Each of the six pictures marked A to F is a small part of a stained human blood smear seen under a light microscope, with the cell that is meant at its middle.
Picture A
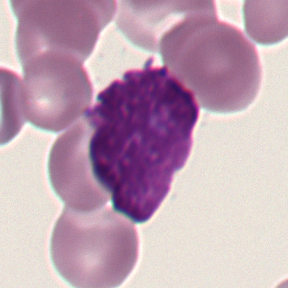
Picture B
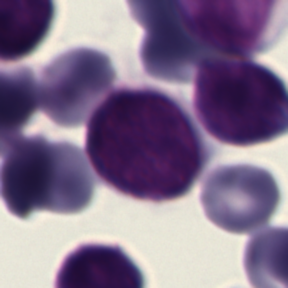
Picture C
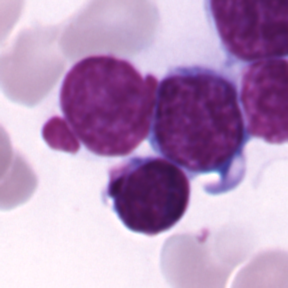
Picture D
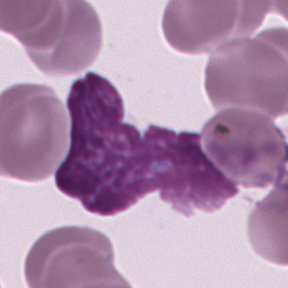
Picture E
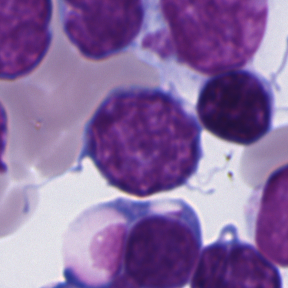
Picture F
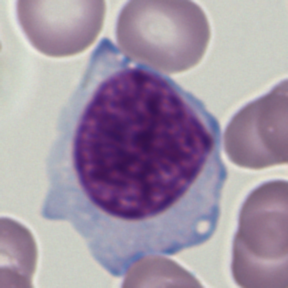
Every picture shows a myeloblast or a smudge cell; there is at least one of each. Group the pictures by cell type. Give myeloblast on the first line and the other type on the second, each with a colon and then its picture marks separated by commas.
myeloblast: B, C, E, F
smudge cell: A, D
